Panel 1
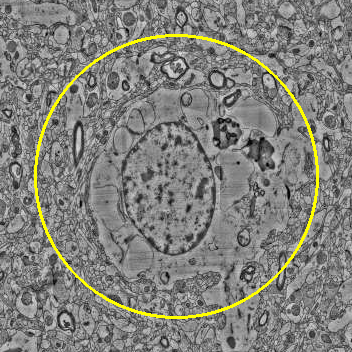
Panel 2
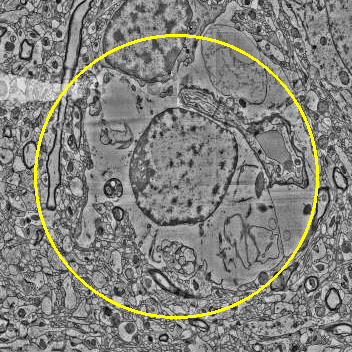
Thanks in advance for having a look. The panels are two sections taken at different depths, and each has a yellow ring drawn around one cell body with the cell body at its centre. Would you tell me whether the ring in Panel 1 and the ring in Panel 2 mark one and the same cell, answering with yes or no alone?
no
